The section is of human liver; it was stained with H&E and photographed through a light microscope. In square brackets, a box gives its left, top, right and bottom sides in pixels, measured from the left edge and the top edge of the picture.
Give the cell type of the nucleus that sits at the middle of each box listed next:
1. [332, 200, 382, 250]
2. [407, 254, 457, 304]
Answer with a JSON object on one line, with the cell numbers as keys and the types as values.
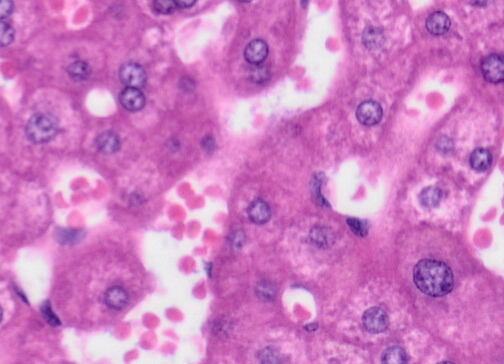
{"1": "fibroblast or stellate cell", "2": "hepatocyte"}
